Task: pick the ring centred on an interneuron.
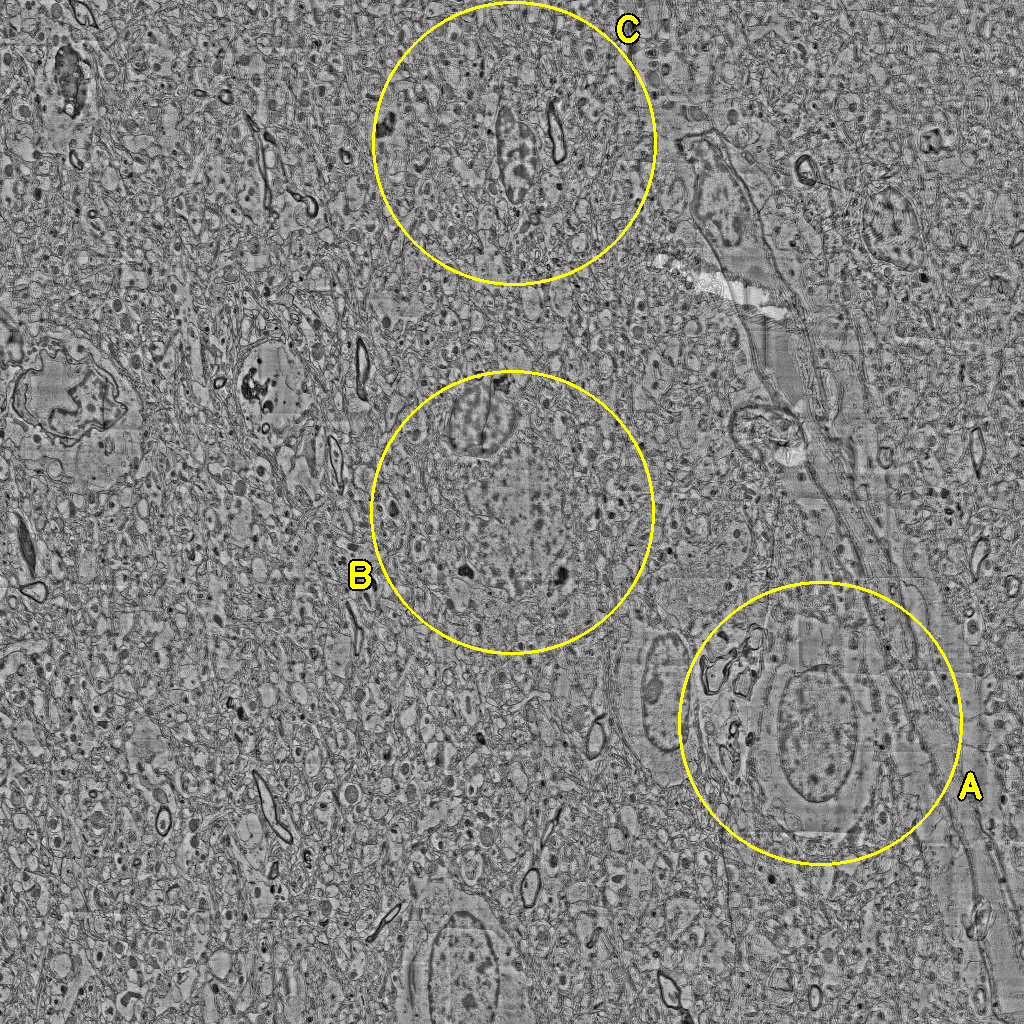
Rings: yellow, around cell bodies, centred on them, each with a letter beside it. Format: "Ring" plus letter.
Ring B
